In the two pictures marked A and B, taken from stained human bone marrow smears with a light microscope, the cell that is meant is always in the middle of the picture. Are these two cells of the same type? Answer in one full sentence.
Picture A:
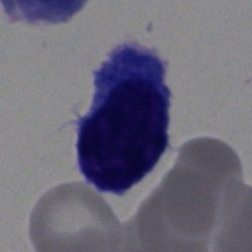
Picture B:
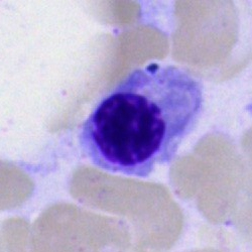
No, picture A shows a lymphocyte and picture B shows an erythroblast.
